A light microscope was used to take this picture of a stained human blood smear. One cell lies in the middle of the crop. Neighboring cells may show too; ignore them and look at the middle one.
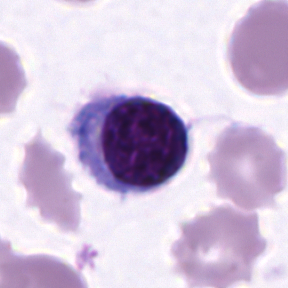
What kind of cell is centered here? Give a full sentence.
The target cell in the middle of the crop is a plasma cell.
